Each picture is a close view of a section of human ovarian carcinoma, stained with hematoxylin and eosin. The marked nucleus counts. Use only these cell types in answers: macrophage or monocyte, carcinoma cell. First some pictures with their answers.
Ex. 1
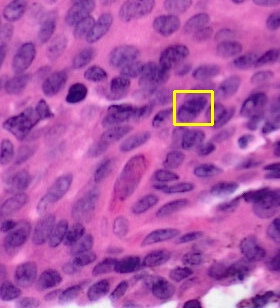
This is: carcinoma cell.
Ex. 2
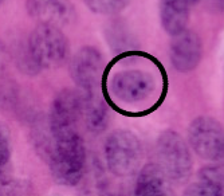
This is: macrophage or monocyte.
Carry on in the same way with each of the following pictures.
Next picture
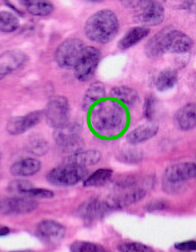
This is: carcinoma cell.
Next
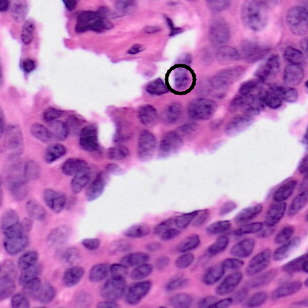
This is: macrophage or monocyte.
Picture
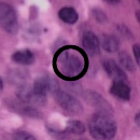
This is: carcinoma cell.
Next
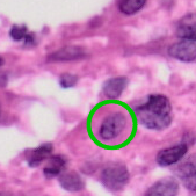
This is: macrophage or monocyte.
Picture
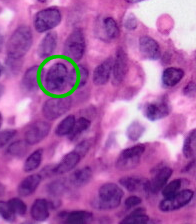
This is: carcinoma cell.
